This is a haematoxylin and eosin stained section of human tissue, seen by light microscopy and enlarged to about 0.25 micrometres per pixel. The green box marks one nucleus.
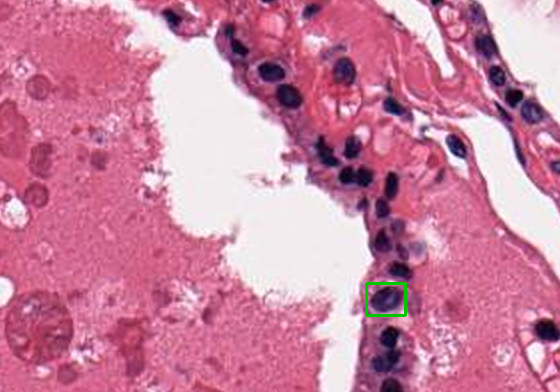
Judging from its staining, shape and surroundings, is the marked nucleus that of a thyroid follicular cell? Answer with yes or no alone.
yes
